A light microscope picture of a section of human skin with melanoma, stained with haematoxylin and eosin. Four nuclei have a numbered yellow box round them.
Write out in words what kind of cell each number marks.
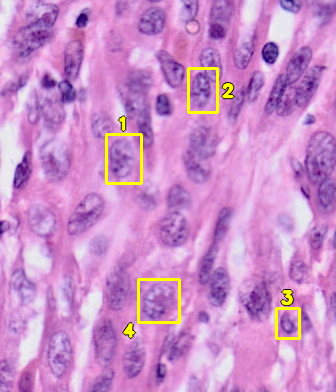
Cell 1 is a melanoma cell, cell 2 is a melanoma cell, cell 3 is a macrophage or monocyte and cell 4 is a melanoma cell.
